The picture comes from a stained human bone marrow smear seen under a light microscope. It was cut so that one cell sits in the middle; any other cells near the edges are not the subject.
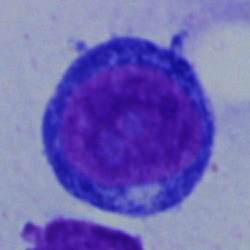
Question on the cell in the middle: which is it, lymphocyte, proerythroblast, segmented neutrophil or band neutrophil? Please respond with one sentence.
The center cell of this crop is a proerythroblast.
